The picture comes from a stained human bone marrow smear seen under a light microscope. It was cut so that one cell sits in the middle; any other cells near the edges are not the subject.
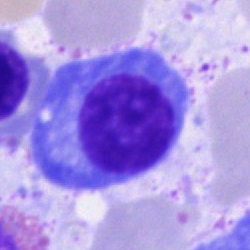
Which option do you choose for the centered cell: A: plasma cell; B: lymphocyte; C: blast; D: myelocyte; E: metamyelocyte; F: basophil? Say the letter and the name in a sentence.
The centered cell is a plasma cell, which is why option A is right.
